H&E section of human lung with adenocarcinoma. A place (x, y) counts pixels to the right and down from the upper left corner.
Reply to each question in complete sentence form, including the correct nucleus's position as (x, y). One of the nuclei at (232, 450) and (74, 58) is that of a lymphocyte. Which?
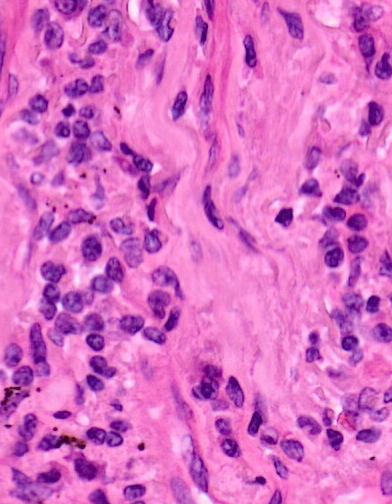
Of the two nuclei, the one sitting at (74, 58) belongs to a lymphocyte.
